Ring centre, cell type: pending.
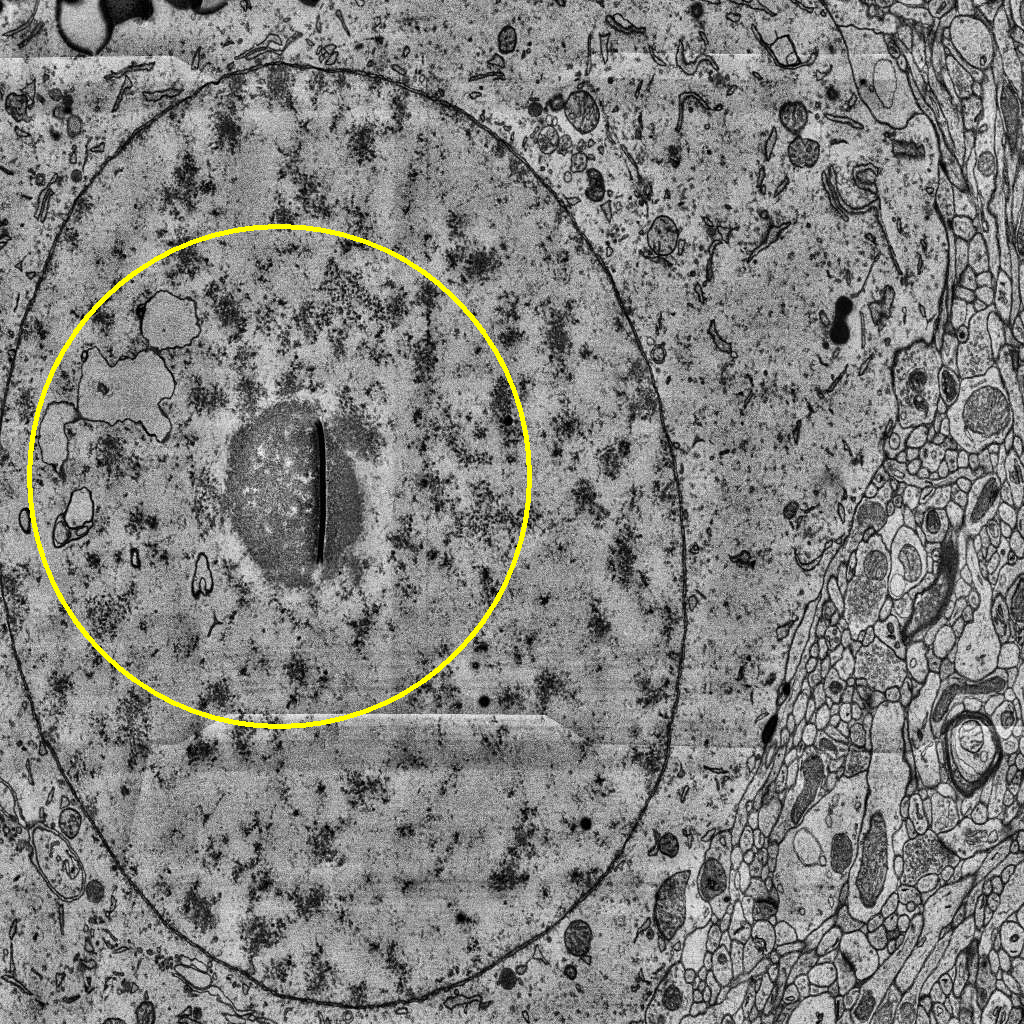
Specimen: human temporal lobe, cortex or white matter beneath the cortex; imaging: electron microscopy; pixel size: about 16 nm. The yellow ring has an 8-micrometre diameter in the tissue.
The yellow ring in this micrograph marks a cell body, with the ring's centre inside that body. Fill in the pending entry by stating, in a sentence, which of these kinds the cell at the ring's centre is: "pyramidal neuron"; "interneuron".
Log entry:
The cell at the ring's centre is recorded as a pyramidal neuron.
